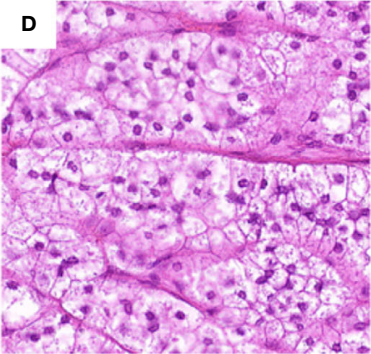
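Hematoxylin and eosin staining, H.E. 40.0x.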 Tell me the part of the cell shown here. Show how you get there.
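Lipid-rich foamy cytoplasm. Cells have pale, clear, bubbly cytoplasm. Cell borders are distinct. Nuclei are small, round and dark.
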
